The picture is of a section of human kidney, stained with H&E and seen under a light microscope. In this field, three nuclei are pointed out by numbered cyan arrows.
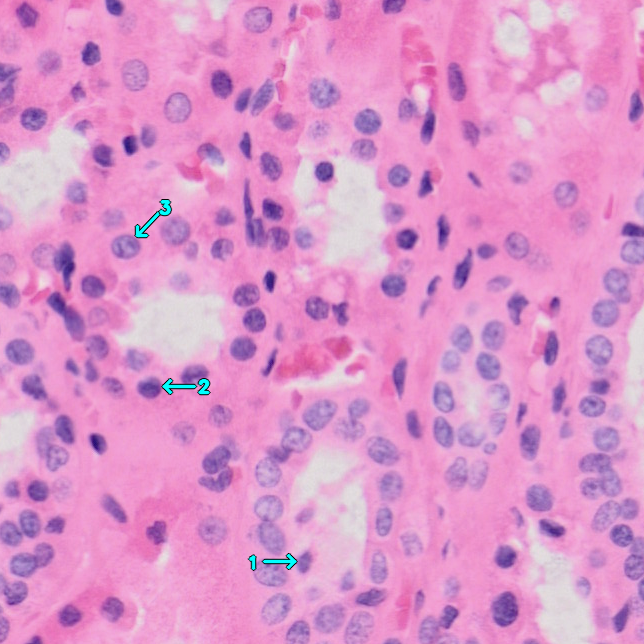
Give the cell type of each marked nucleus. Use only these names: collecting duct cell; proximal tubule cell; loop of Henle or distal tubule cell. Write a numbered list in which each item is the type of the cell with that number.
1. collecting duct cell
2. loop of Henle or distal tubule cell
3. loop of Henle or distal tubule cell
